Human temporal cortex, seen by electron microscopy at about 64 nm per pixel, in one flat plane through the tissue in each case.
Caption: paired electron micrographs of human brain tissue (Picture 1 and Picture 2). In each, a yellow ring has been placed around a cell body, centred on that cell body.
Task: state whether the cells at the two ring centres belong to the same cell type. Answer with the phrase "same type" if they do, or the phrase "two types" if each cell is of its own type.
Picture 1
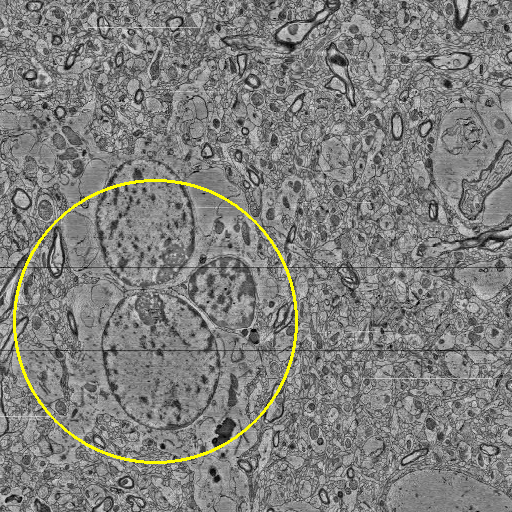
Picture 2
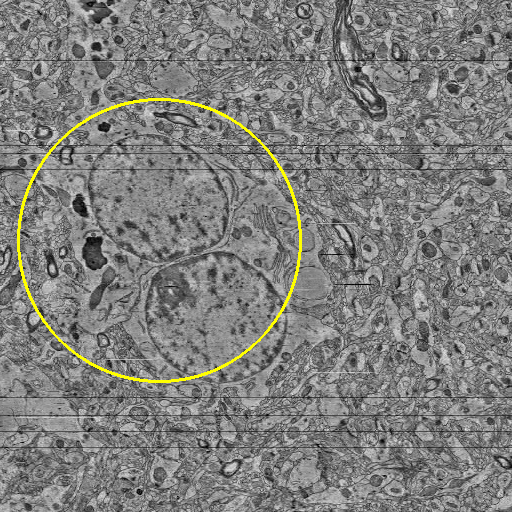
same type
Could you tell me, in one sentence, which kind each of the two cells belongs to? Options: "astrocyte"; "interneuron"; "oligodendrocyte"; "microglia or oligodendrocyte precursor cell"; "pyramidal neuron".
In the first picture and in the second, the ring is centred on an astrocyte.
